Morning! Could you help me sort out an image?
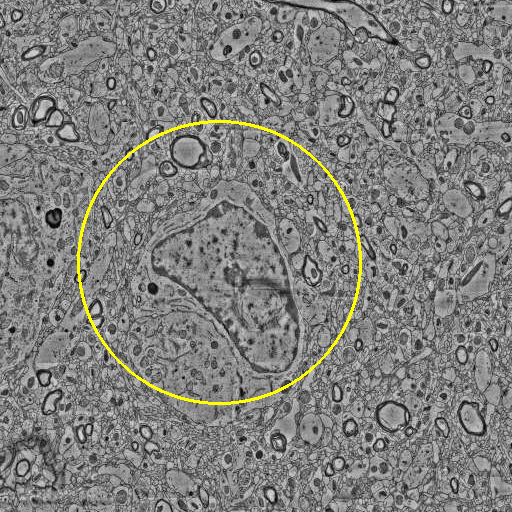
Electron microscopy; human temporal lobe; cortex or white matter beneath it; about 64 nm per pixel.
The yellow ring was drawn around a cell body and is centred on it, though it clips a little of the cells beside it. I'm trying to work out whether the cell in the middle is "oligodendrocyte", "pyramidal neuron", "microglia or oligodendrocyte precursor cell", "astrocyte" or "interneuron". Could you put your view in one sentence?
The ringed cell body is that of a microglial cell or oligodendrocyte precursor cell.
